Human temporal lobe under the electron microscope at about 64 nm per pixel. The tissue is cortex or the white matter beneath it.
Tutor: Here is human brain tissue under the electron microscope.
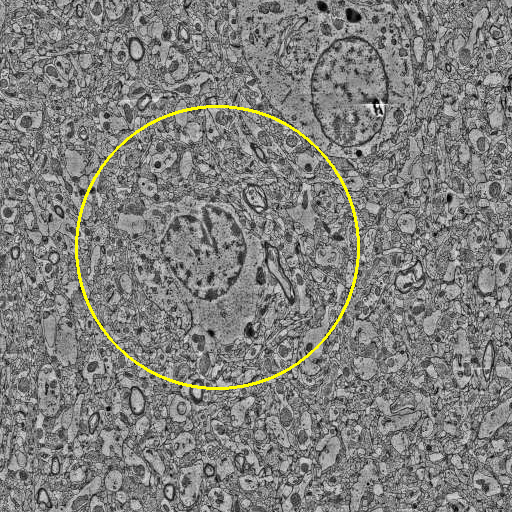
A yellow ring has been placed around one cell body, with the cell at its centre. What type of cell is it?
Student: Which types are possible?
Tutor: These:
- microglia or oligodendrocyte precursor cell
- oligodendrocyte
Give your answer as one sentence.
What the ring picks out here is a microglial cell or oligodendrocyte precursor cell.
